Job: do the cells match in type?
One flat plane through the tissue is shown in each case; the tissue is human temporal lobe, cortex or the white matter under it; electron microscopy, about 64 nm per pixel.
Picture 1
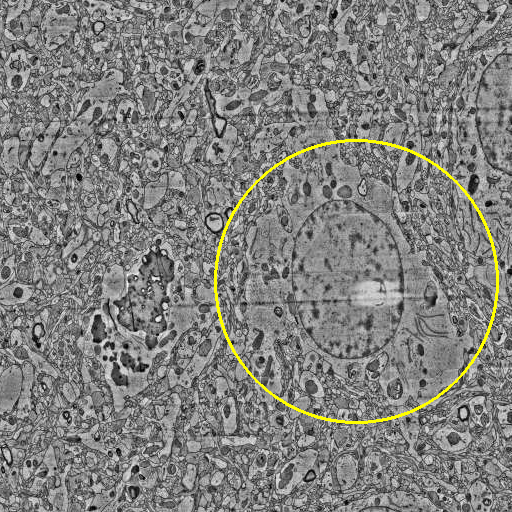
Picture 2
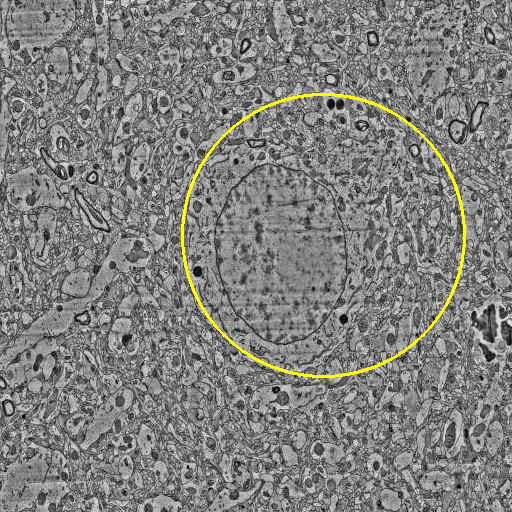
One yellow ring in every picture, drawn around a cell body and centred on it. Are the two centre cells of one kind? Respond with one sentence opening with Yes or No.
No, the ringed cells in the two pictures are of two separate kinds.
